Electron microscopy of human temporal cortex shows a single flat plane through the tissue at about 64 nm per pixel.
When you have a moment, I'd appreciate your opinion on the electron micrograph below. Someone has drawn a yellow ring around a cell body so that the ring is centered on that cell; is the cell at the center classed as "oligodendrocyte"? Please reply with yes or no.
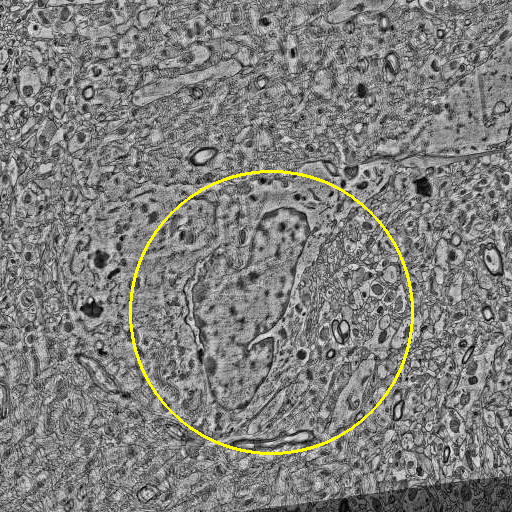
No, that cell belongs to another kind.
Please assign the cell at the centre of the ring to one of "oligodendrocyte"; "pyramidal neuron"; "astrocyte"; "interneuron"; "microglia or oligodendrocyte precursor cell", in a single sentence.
The cell circled by the yellow ring is a microglial cell or oligodendrocyte precursor cell.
